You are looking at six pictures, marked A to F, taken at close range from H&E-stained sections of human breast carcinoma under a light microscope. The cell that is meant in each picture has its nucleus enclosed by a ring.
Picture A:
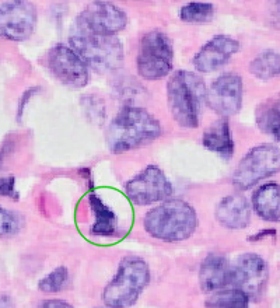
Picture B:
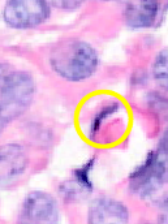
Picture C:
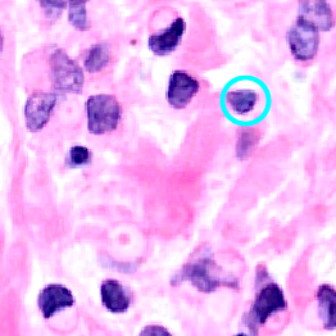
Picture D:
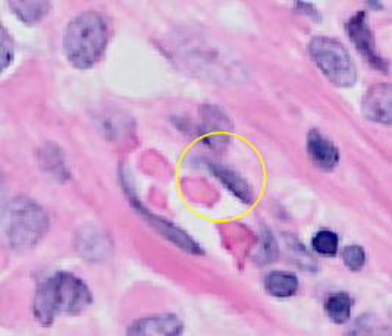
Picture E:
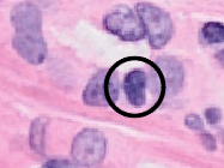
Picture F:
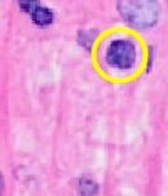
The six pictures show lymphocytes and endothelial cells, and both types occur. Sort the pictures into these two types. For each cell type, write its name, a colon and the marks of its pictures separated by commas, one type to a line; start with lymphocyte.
lymphocyte: C, E, F
endothelial cell: A, B, D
